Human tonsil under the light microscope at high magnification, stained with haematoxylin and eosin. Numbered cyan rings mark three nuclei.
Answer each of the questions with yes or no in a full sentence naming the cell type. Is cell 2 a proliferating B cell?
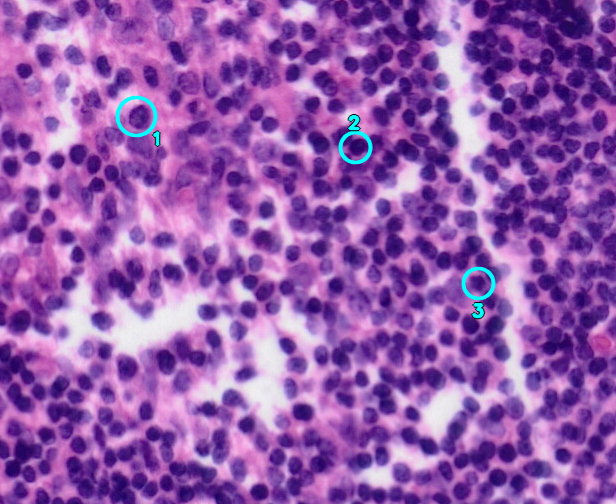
No, the cell carrying number 2 is a small lymphocyte rather than a proliferating B cell.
